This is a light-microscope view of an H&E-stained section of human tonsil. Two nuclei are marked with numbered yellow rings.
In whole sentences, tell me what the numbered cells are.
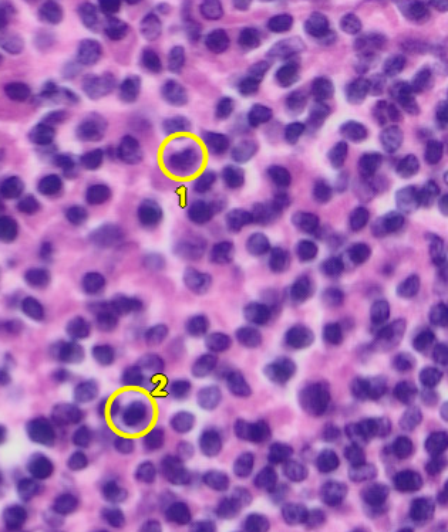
Cell 1 is a plasma cell and cell 2 is a small lymphocyte.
